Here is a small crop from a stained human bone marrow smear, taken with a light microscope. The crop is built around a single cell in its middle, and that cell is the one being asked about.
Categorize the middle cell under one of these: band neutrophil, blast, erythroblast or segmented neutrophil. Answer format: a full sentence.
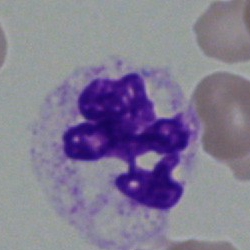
Here the centrally located cell is a segmented neutrophil.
